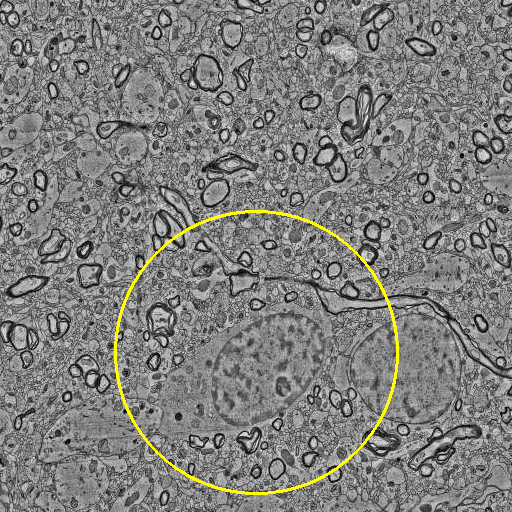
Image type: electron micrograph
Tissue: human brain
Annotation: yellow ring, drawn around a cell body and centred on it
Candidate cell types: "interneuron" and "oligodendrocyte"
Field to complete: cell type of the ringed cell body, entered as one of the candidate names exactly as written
oligodendrocyte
